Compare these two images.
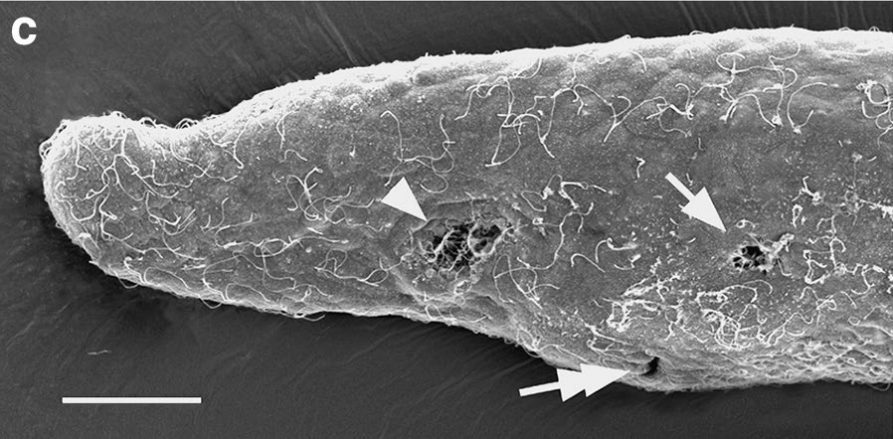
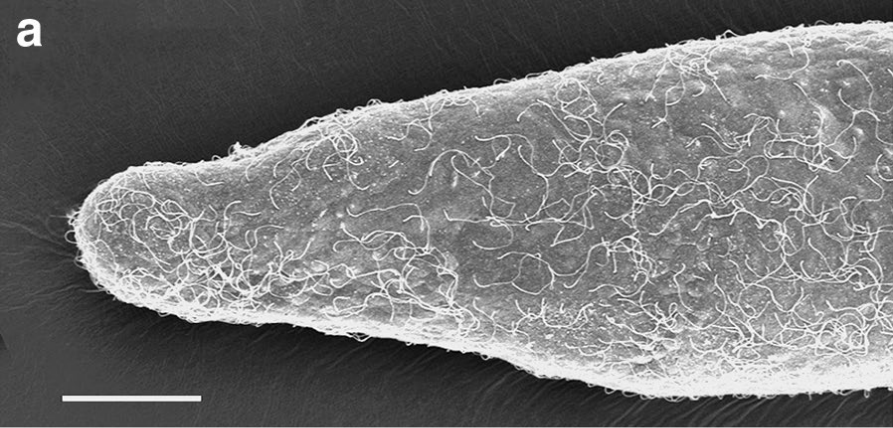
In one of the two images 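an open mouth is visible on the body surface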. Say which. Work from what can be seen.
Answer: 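First image: a distinct opening with irregular edges is present on the side of the body behind the front tip. Second image: the body surface is continuous, covered with cilia, with no opening to be seen. So: the first image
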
